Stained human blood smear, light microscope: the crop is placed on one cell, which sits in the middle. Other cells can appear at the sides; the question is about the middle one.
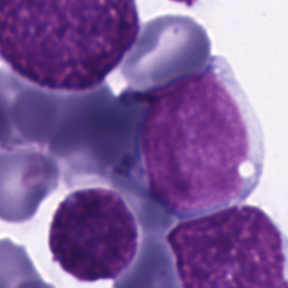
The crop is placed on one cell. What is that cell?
myeloblast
